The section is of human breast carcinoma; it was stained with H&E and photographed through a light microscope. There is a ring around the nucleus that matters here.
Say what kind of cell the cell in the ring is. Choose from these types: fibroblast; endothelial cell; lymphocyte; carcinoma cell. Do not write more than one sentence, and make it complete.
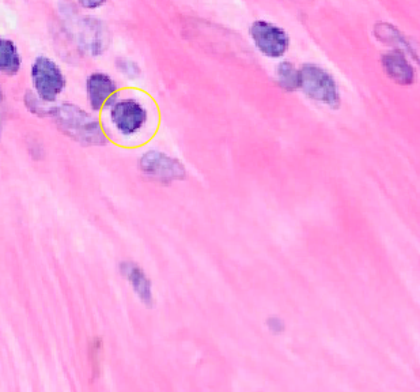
As a matter of cell type, the cell in the ring is a lymphocyte.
